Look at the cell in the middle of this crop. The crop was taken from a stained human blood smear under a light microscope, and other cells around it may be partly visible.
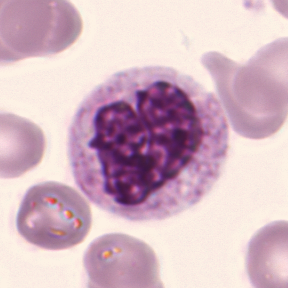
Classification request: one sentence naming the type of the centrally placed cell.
The middle cell in this particular crop is a band neutrophil.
